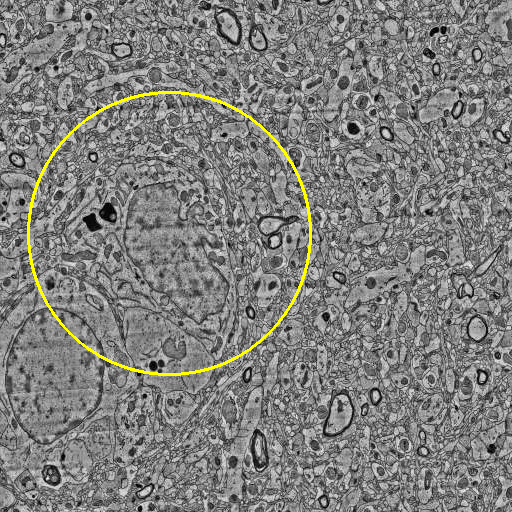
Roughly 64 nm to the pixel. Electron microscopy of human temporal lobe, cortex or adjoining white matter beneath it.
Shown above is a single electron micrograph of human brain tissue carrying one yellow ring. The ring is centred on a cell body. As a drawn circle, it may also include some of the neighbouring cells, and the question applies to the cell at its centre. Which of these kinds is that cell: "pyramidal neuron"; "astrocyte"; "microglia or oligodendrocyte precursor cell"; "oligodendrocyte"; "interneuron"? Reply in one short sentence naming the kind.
The cell marked by the ring is an interneuron.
